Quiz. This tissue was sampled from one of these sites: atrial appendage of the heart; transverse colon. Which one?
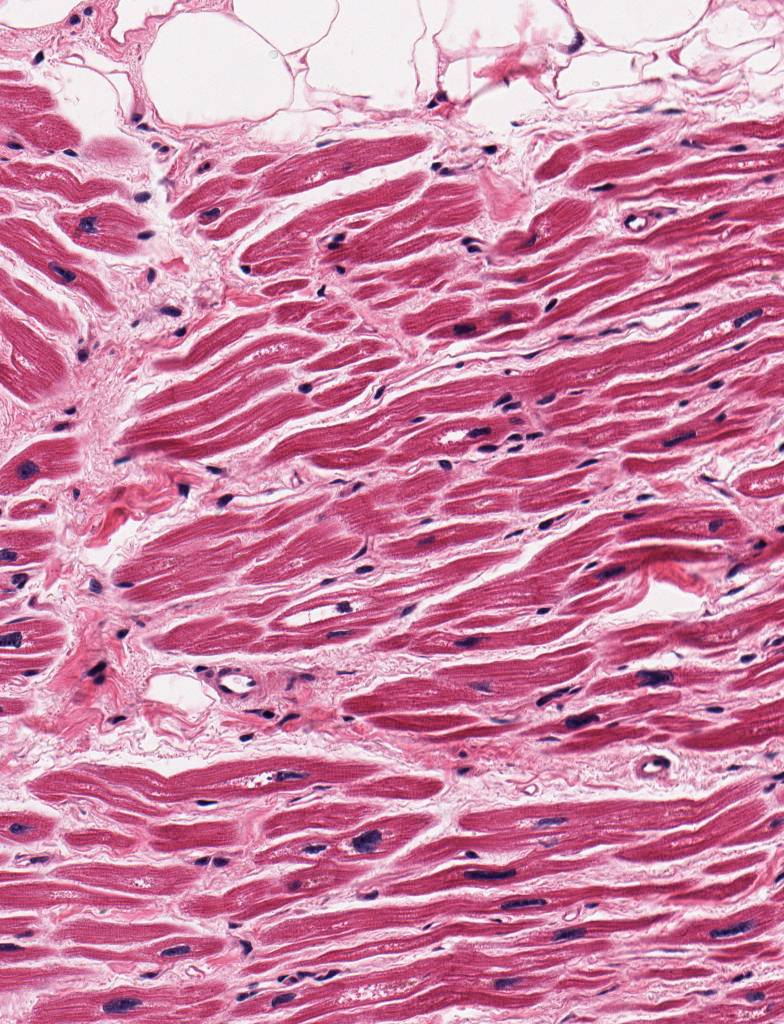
atrial appendage of the heart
